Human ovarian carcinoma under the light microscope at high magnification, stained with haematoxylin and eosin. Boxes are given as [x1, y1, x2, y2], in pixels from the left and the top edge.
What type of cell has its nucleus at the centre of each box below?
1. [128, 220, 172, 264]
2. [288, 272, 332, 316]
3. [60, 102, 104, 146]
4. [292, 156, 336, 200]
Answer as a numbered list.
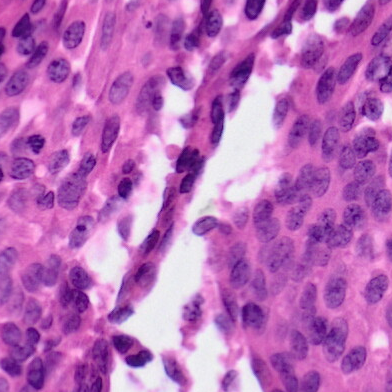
1. carcinoma cell
2. carcinoma cell
3. macrophage or monocyte
4. carcinoma cell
